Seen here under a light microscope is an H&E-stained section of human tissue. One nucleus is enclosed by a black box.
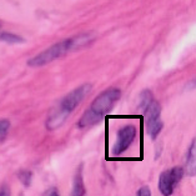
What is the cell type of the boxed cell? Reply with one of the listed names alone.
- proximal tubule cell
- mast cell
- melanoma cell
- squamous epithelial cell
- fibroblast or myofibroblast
mast cell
